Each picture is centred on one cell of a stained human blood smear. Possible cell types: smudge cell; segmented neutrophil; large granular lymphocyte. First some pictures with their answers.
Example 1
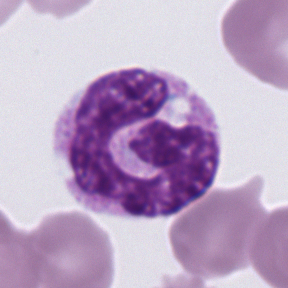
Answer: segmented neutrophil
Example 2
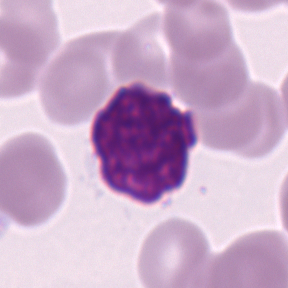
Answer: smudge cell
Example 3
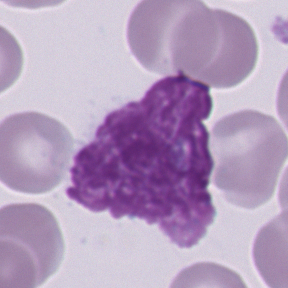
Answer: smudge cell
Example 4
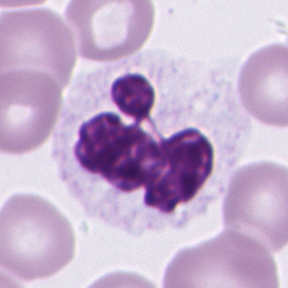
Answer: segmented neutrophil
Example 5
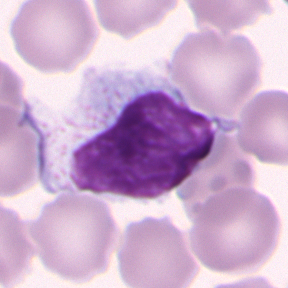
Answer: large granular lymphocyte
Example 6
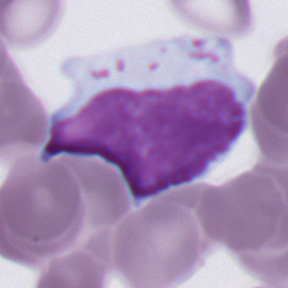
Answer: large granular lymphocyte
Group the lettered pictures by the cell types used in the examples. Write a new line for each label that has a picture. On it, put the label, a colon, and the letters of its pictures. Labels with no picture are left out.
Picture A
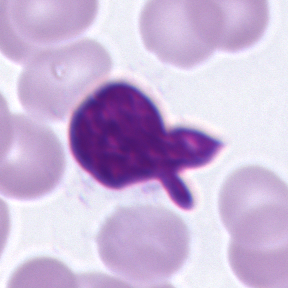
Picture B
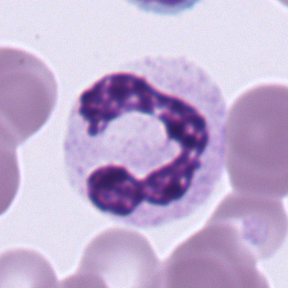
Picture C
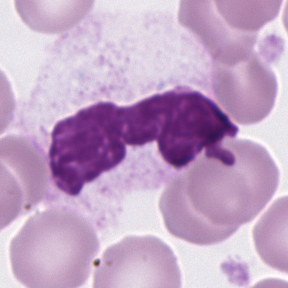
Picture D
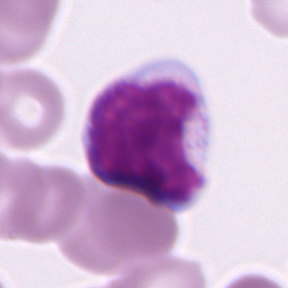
smudge cell: A
segmented neutrophil: B, C
large granular lymphocyte: D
